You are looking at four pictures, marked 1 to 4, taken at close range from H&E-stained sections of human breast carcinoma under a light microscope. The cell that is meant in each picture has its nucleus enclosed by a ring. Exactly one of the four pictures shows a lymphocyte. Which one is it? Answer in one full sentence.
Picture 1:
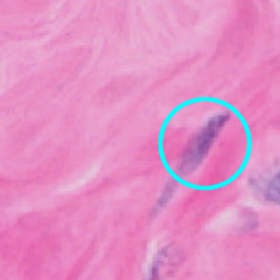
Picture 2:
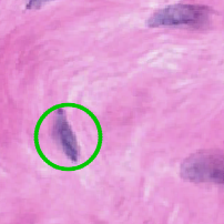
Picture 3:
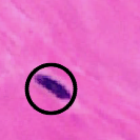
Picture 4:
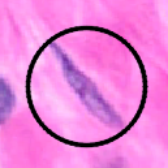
It is picture 3 that shows the lymphocyte.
